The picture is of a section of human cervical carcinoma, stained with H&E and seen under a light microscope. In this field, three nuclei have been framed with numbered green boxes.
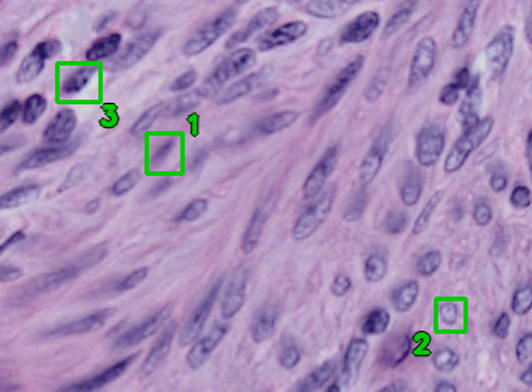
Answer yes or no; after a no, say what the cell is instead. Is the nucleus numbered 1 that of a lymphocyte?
No, it is a smooth muscle cell.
